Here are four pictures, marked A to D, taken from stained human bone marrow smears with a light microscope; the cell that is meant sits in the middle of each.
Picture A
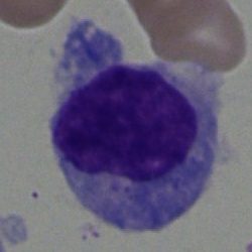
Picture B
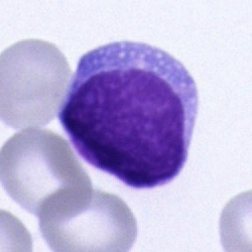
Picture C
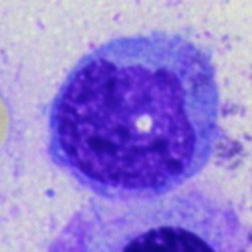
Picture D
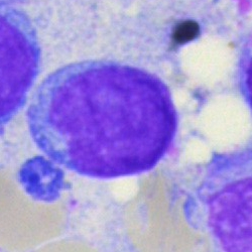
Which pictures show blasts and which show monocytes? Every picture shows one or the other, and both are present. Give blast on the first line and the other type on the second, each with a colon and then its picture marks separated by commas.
blast: B, D
monocyte: A, C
